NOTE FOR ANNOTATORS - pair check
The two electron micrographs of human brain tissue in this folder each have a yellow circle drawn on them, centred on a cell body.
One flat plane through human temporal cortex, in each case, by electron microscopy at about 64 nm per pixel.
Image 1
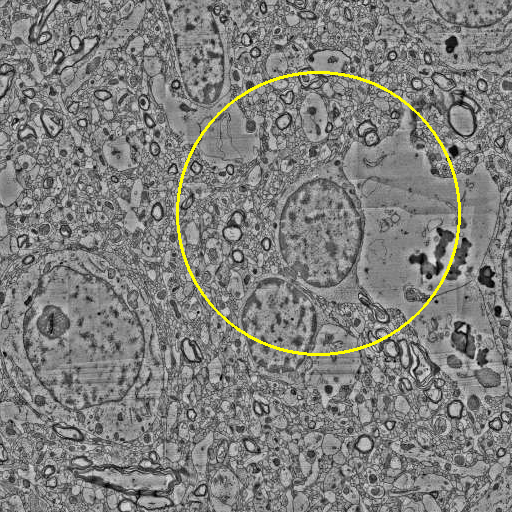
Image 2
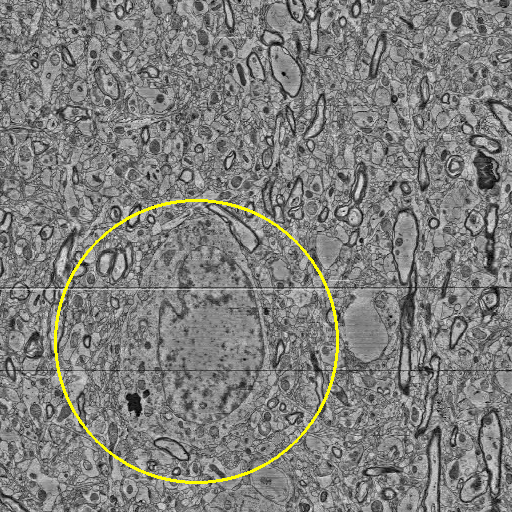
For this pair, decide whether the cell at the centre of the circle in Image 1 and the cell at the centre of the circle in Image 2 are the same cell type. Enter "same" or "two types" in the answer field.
two types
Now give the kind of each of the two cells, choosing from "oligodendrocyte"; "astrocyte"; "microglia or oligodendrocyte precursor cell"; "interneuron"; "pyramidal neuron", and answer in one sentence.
The cell in the first picture is an oligodendrocyte, and the cell in the second is an interneuron.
